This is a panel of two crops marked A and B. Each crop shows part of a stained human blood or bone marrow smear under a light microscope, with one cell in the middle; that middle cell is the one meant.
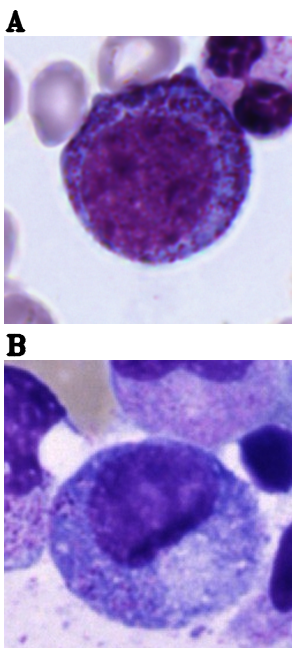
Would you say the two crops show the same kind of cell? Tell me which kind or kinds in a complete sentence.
Yes, the central cells in both of the crops are promyelocytes.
